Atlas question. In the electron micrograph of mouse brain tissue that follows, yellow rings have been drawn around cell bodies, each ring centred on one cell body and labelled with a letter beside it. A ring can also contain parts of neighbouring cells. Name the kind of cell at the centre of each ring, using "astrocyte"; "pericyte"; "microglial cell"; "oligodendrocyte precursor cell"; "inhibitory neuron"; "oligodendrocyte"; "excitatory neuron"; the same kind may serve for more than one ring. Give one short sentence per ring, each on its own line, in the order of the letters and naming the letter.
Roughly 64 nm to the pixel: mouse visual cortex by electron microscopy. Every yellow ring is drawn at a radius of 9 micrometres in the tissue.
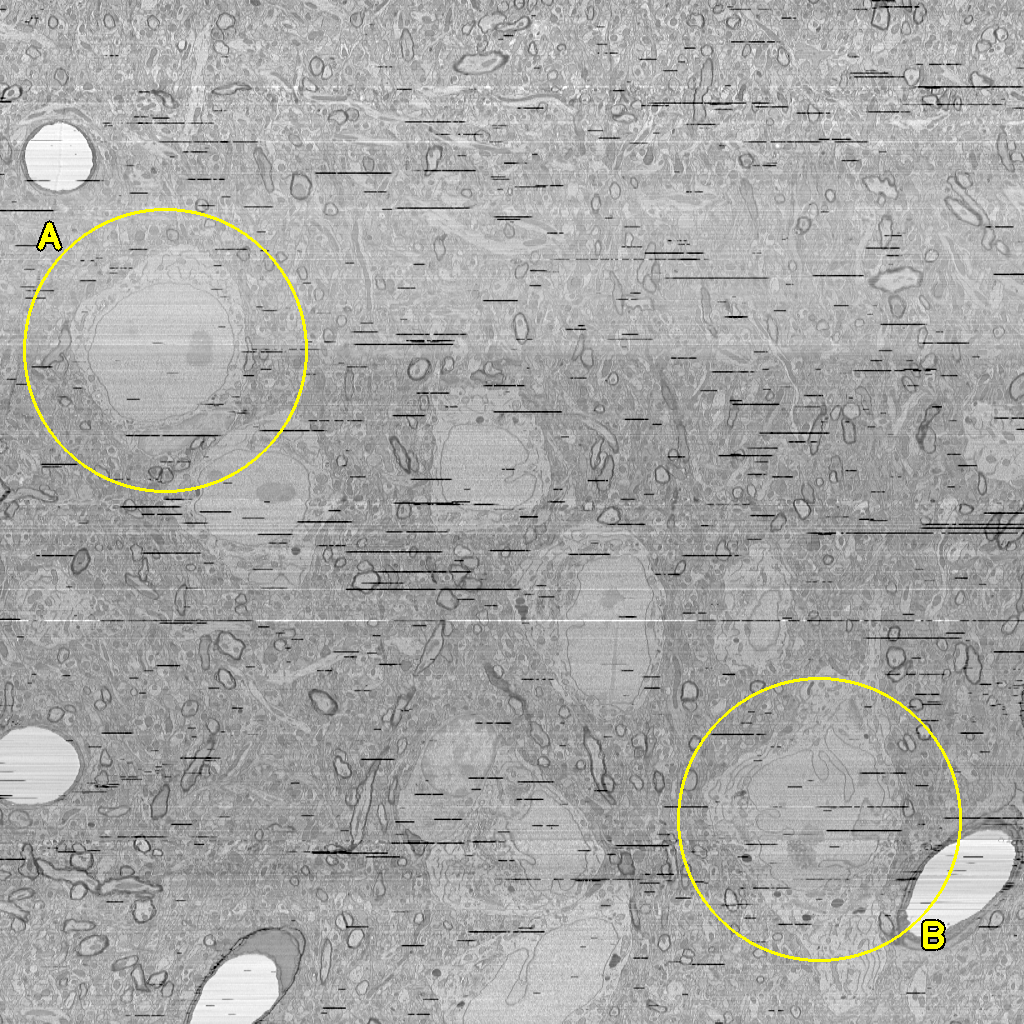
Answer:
For ring A, the cell at the centre is an excitatory neuron.
For ring B, the cell at the centre is an inhibitory neuron.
